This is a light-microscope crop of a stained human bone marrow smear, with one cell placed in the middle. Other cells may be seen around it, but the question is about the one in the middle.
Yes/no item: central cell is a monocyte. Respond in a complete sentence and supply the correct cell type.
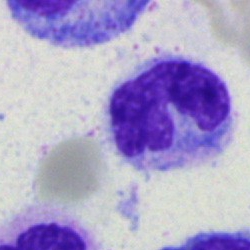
Yes, the cell located at the center is a monocyte.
